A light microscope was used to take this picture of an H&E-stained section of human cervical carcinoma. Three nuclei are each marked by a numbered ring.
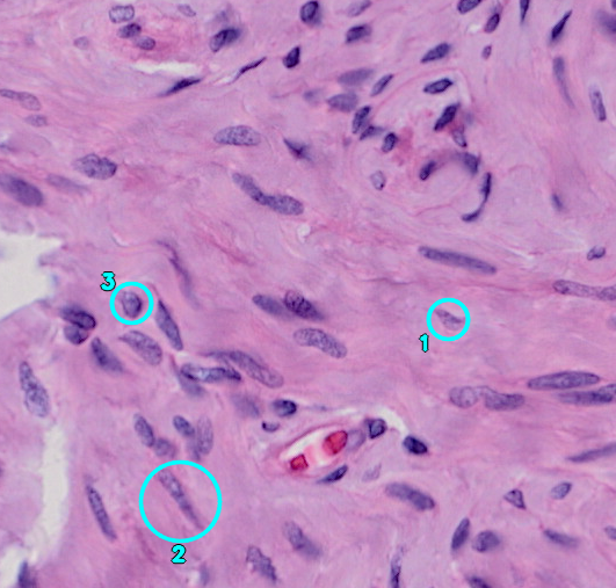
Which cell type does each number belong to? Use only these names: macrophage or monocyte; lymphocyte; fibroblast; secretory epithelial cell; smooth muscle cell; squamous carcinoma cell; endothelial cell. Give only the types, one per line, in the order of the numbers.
fibroblast
smooth muscle cell
fibroblast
